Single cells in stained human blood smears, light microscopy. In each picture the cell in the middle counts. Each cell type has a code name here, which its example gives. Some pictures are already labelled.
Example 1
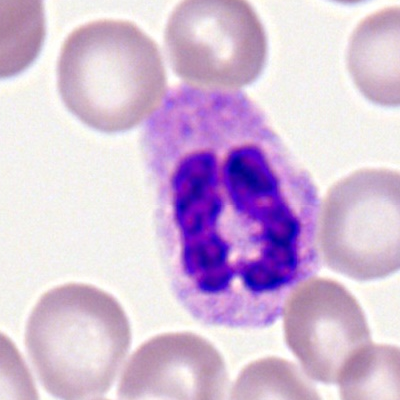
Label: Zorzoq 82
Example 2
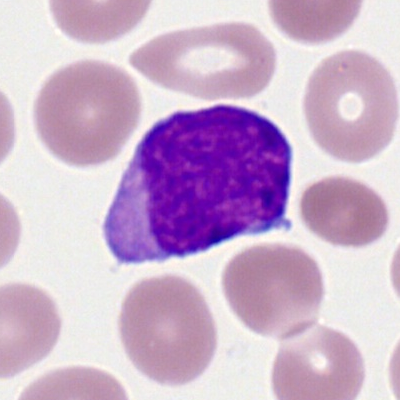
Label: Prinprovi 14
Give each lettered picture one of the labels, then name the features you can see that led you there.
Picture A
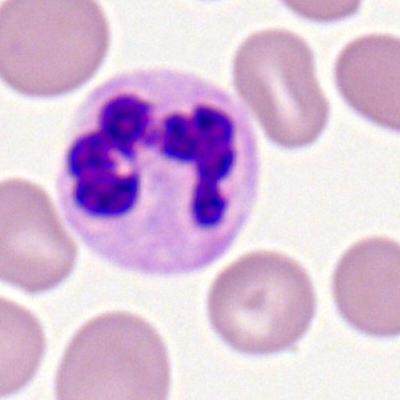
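Zorzoq 82: The nucleus is split into more than two separate lobes linked by thin strands.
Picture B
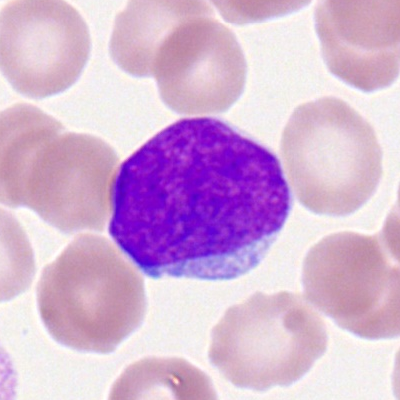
Prinprovi 14: The cytoplasm forms only a thin crescent along the lower edge of the cell.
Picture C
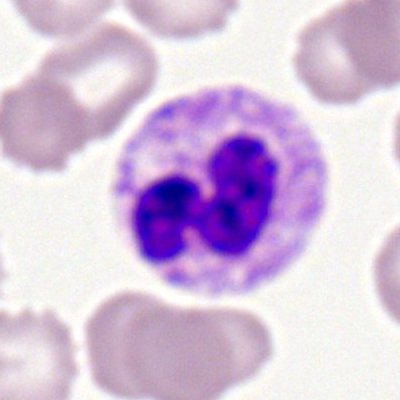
Zorzoq 82: The nucleus is divided into two lobes.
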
